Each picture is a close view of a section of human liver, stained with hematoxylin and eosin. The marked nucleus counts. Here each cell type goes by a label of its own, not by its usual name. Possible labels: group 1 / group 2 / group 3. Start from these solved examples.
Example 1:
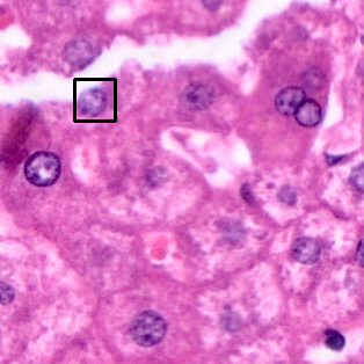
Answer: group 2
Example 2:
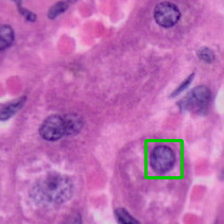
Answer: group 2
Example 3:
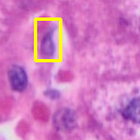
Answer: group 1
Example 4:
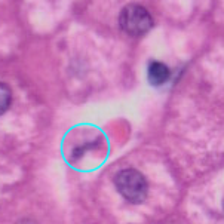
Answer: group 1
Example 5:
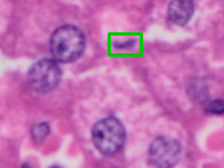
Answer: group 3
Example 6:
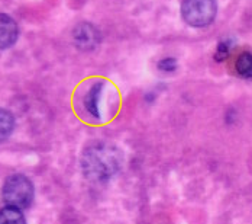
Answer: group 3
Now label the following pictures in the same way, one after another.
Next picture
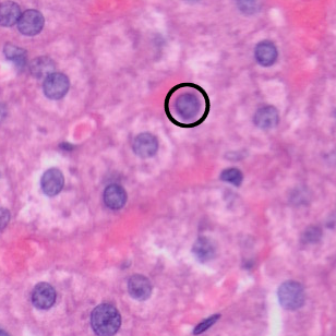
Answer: group 2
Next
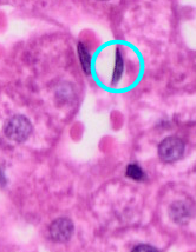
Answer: group 3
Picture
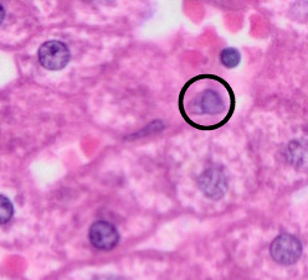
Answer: group 1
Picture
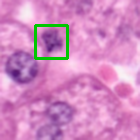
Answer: group 3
